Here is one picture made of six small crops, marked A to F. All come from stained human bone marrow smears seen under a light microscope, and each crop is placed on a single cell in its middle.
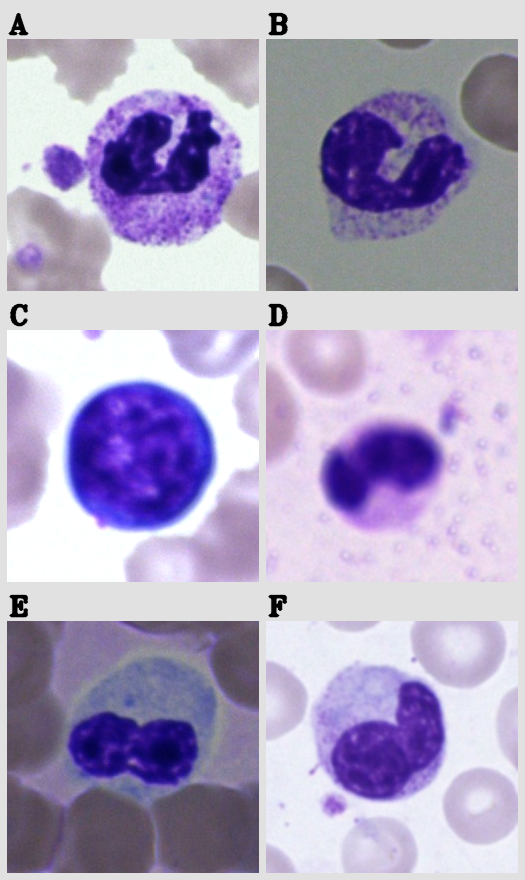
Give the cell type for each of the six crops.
A: segmented neutrophil
B: band neutrophil
C: proerythroblast
D: segmented neutrophil
E: band neutrophil
F: band neutrophil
